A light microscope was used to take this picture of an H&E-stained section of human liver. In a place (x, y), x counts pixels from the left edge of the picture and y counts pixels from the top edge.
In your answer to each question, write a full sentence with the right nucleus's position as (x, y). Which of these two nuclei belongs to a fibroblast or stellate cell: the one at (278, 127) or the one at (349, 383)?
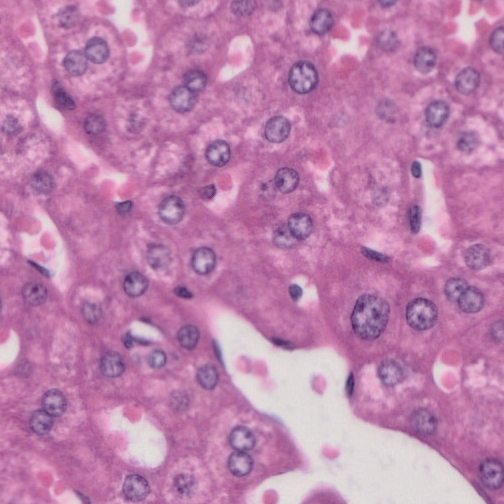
The nucleus at (349, 383) is attributed to a fibroblast or stellate cell, unlike the other nucleus.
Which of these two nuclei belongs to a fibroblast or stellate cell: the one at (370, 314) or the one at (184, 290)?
Among the two nuclei, the one found at (184, 290) belongs to a fibroblast or stellate cell.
